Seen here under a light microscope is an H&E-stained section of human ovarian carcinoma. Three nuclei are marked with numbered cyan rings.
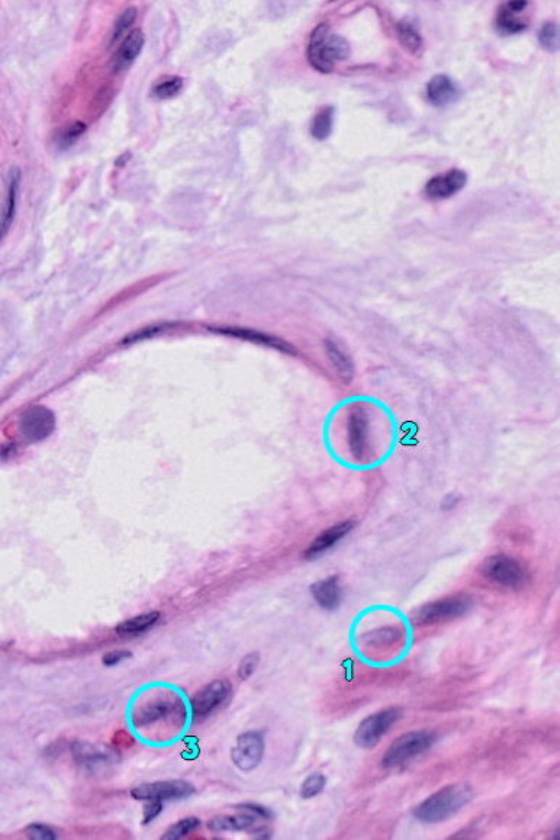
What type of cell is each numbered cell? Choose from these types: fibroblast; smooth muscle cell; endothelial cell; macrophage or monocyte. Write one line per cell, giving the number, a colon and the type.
1: smooth muscle cell
2: endothelial cell
3: endothelial cell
